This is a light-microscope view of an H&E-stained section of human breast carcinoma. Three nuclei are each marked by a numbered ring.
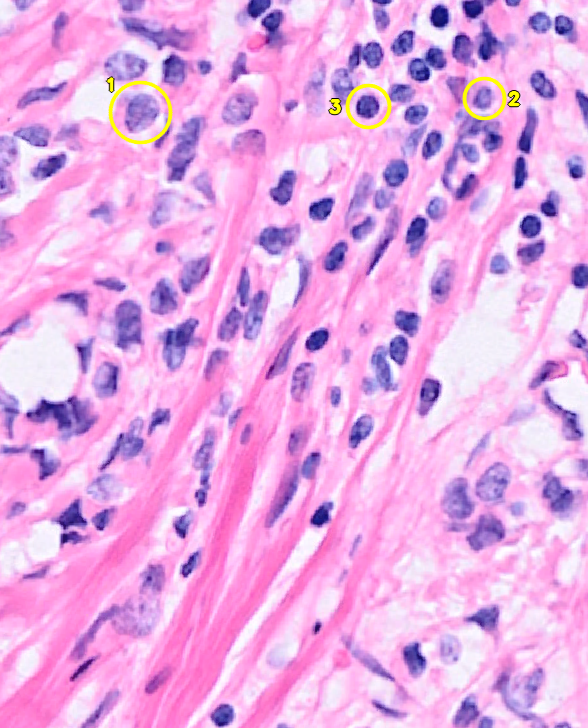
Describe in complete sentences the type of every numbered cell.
Cell 1 is a carcinoma cell, cell 2 is a lymphocyte and cell 3 is a lymphocyte.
